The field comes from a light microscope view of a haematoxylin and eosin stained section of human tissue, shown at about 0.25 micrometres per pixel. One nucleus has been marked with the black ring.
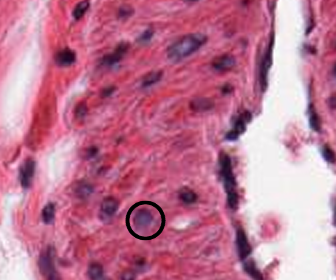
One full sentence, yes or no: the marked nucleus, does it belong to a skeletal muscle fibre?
No, the nucleus carrying the mark does not come from a skeletal muscle fibre.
